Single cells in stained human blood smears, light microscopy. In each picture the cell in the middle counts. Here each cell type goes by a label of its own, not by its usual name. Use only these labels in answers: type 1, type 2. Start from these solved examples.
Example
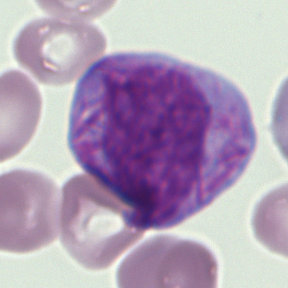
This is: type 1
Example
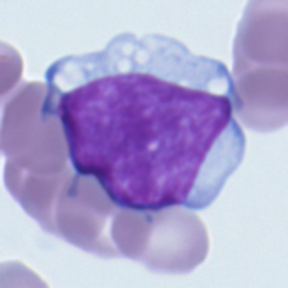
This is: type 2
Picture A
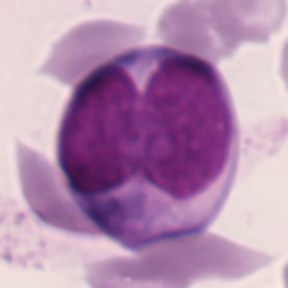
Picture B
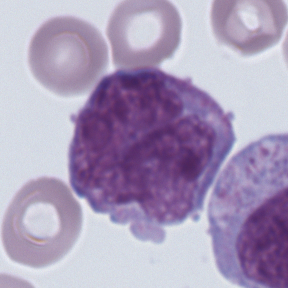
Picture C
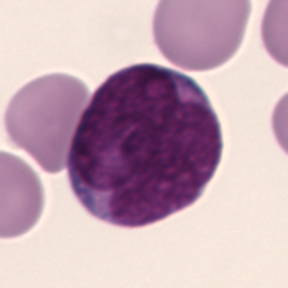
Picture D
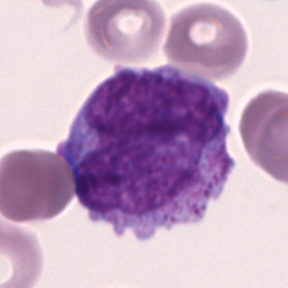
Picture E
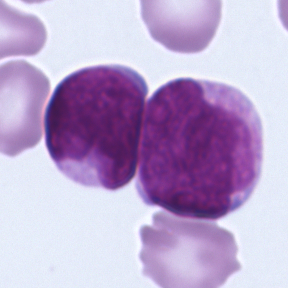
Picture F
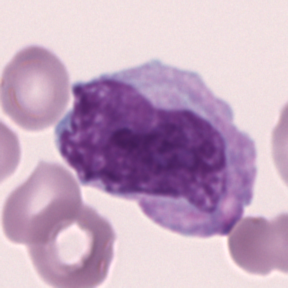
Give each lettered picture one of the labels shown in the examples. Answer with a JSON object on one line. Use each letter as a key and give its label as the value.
{"A": "type 2", "B": "type 1", "C": "type 2", "D": "type 1", "E": "type 2", "F": "type 1"}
